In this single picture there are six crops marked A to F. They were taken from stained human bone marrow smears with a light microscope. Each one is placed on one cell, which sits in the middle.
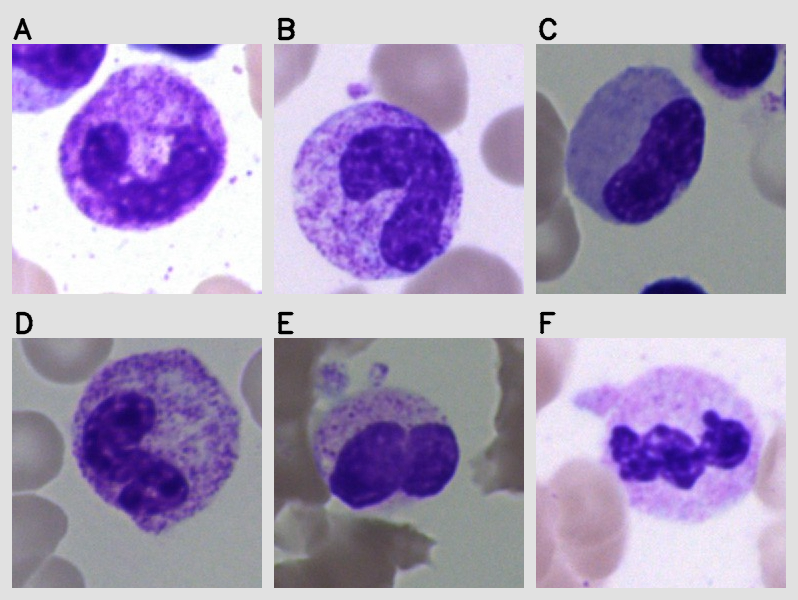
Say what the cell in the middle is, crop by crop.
A: band neutrophil
B: band neutrophil
C: band neutrophil
D: segmented neutrophil
E: segmented neutrophil
F: segmented neutrophil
